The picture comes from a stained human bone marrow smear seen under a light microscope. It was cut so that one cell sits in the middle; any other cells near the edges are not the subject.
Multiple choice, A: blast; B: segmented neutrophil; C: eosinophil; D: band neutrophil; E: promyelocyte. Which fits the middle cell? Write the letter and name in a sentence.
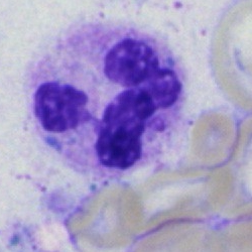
Option B is correct here, and the cell in the middle is a segmented neutrophil.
